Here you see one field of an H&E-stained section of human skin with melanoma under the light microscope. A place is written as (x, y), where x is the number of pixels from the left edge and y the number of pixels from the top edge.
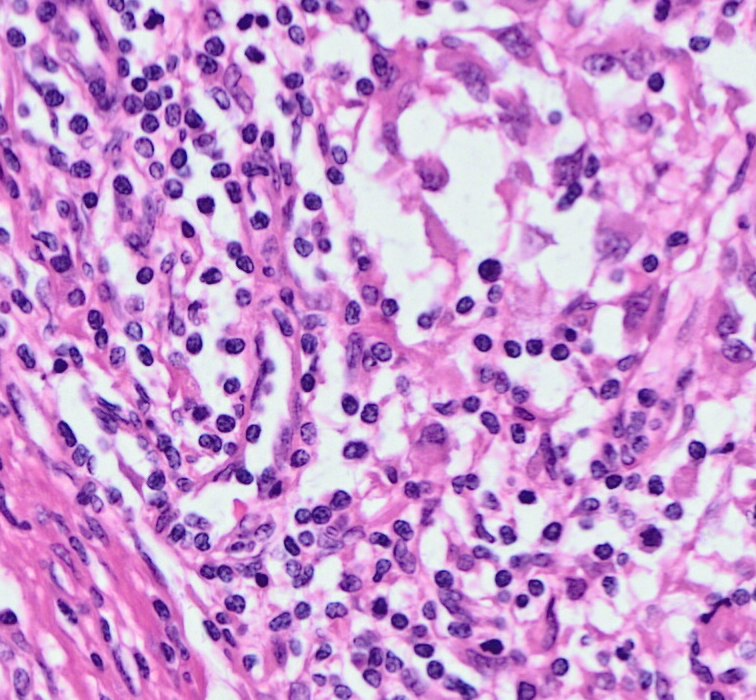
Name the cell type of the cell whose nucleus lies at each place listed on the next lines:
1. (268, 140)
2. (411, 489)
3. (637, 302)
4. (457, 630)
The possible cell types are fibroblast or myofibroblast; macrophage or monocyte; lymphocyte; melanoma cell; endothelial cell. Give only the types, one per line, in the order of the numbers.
lymphocyte
lymphocyte
melanoma cell
lymphocyte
